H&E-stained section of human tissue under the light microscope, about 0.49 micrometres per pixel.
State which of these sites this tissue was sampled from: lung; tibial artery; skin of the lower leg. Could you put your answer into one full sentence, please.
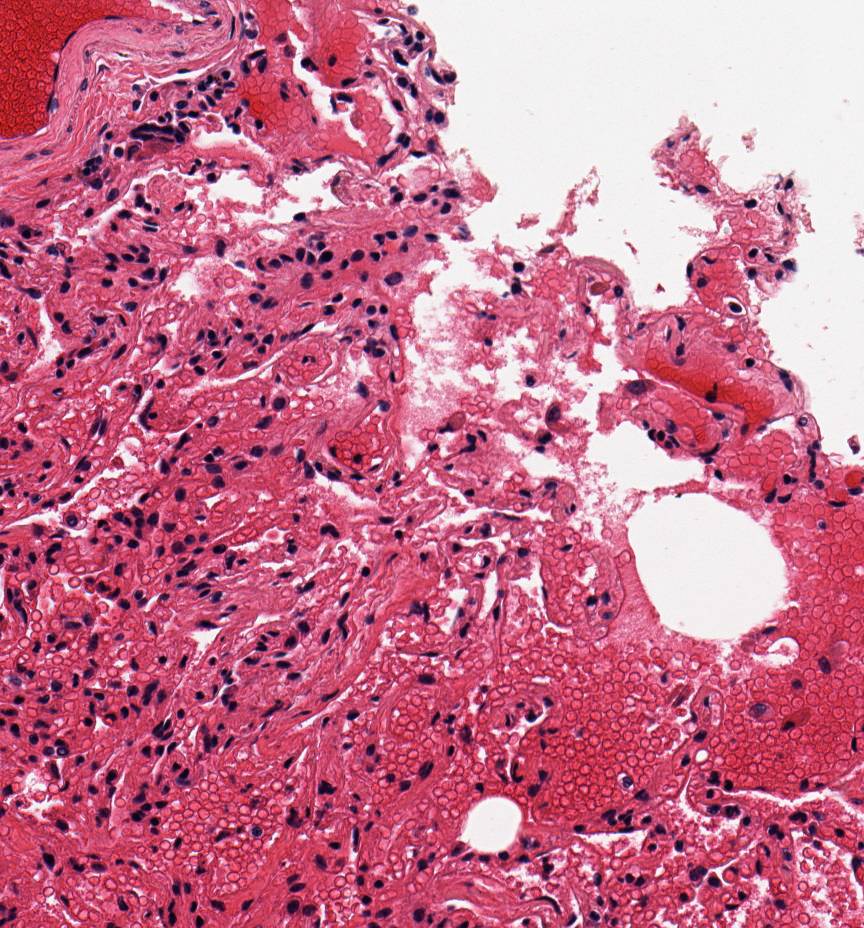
For this section, tissue was sampled from the lung.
